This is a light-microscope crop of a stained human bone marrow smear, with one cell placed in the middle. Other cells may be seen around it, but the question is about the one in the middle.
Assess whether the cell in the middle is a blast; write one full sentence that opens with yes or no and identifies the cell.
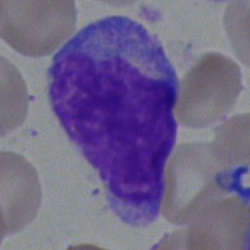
Yes, a blast is present in the middle of the crop.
